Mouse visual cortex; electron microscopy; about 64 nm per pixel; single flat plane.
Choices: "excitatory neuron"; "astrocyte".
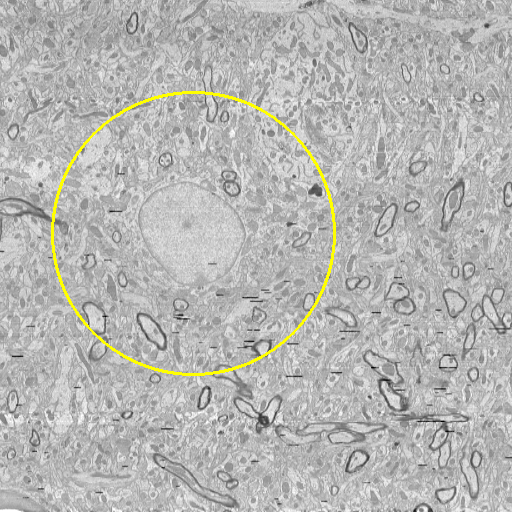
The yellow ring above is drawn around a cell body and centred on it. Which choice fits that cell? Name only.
astrocyte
